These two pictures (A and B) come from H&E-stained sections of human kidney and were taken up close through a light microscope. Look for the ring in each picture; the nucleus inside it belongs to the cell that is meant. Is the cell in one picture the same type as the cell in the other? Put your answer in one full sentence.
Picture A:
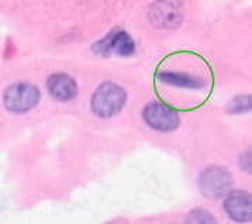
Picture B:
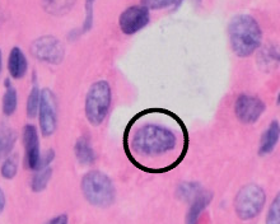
No, picture A shows an endothelial cell and picture B shows a “loop of Henle or distal tubule cell”.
